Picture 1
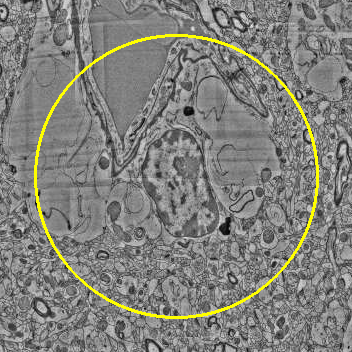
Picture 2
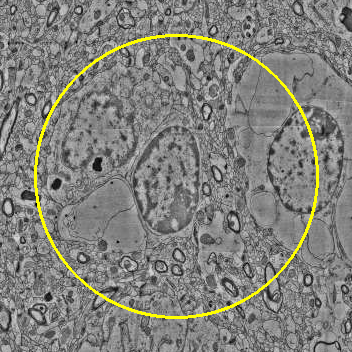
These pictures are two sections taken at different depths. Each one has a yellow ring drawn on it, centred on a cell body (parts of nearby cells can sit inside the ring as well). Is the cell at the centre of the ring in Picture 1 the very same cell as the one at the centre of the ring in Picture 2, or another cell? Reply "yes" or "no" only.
no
